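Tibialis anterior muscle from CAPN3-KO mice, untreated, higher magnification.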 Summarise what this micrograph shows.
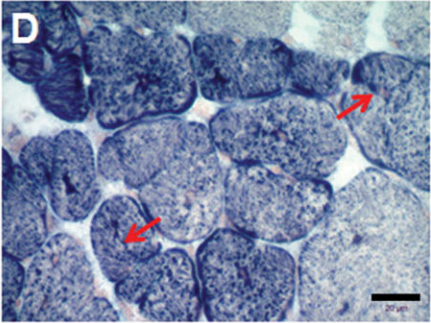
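The granular blue pattern is coarse and uneven within fibers. Thin pale spaces separate adjacent fibers.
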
